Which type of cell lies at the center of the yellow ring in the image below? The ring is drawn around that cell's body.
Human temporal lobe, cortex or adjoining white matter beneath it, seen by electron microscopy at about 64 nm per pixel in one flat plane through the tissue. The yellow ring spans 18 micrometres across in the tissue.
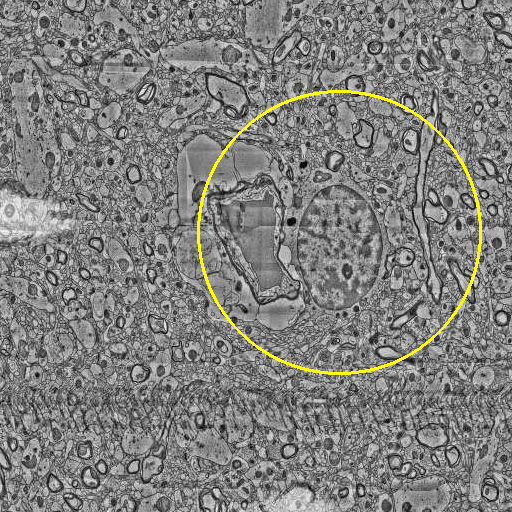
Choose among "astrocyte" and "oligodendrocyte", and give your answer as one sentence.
The cell body at the center belongs to an oligodendrocyte.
